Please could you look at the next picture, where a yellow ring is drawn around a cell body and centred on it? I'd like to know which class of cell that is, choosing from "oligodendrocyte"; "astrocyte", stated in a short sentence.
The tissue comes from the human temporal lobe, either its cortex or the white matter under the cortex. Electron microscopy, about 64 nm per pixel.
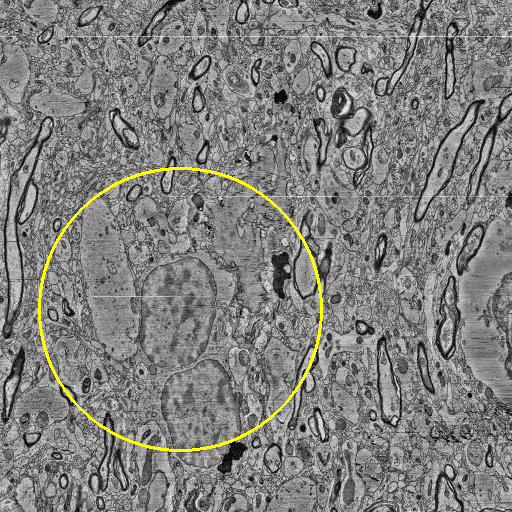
The ring's centre lies on an oligodendrocyte.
